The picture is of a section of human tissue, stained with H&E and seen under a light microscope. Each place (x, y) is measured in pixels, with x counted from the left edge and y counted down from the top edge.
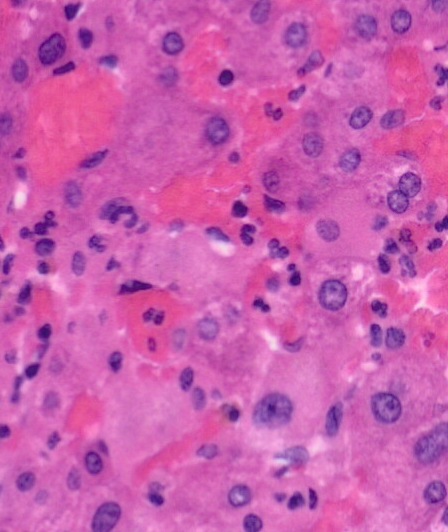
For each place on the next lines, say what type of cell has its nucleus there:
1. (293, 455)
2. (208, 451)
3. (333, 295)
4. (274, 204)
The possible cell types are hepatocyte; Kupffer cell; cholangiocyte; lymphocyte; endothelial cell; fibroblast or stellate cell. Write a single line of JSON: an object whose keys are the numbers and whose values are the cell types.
{"1": "endothelial cell", "2": "Kupffer cell", "3": "hepatocyte", "4": "fibroblast or stellate cell"}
